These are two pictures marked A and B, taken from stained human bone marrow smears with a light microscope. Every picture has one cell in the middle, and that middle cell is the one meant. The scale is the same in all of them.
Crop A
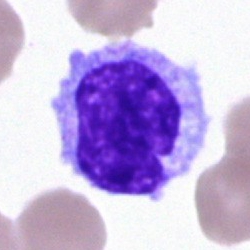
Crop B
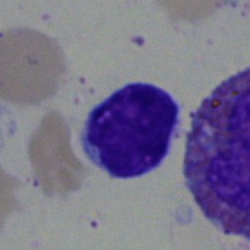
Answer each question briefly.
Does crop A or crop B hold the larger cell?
A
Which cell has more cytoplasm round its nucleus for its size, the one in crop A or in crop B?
A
